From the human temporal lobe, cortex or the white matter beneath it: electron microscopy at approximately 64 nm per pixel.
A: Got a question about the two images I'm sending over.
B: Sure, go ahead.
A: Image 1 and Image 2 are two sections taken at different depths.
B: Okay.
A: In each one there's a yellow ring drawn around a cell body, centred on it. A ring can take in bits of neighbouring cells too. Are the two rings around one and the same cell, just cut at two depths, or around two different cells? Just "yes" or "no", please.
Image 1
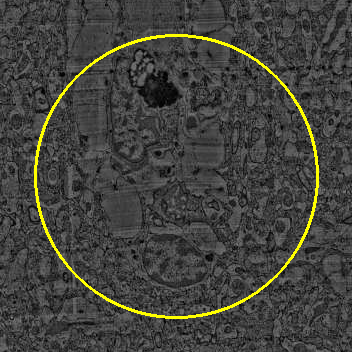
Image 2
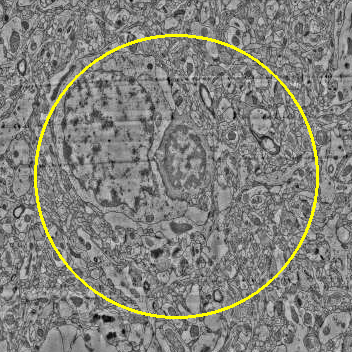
no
